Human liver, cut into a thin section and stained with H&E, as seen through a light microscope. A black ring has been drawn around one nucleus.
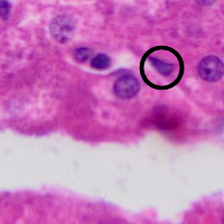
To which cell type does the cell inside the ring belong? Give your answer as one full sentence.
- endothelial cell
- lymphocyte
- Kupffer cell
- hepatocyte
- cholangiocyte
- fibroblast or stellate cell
The classification of the cell inside the ring is as a fibroblast or stellate cell.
